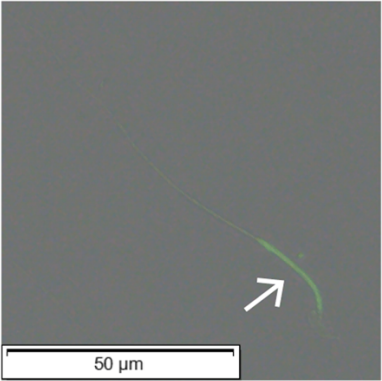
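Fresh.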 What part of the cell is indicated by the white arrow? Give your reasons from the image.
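The arrow points at the green segment of the tail next to the head.
Midpiece.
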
